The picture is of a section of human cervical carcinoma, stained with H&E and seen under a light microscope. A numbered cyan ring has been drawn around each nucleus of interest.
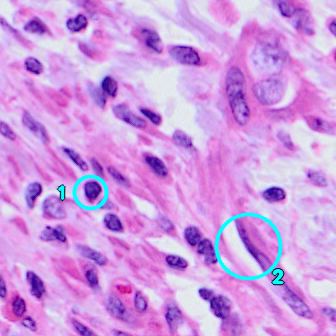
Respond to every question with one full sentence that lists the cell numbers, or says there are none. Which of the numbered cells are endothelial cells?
Only one of the numbered nuclei, number 2, belongs to an endothelial cell.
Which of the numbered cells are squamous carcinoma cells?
None among the numbered cells are squamous carcinoma cells.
